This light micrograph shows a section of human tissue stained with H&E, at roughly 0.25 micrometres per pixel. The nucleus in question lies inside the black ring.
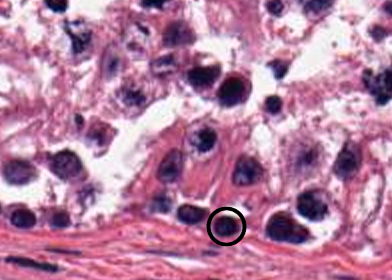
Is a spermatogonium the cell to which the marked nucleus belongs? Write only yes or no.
yes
